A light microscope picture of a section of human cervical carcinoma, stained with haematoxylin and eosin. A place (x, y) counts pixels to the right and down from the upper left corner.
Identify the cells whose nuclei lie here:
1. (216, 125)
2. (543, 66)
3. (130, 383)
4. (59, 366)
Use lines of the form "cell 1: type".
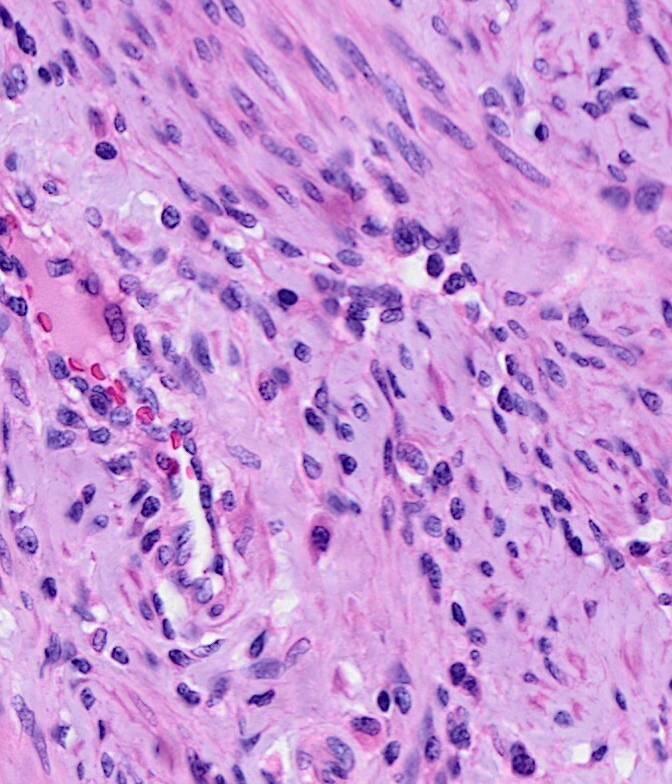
cell 1: smooth muscle cell
cell 2: smooth muscle cell
cell 3: endothelial cell
cell 4: endothelial cell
